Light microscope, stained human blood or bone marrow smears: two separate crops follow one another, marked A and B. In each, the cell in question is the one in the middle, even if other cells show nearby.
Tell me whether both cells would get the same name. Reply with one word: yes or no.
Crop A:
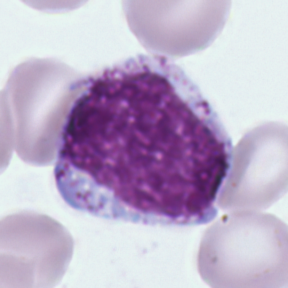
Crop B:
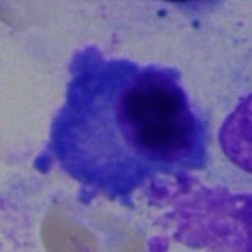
no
